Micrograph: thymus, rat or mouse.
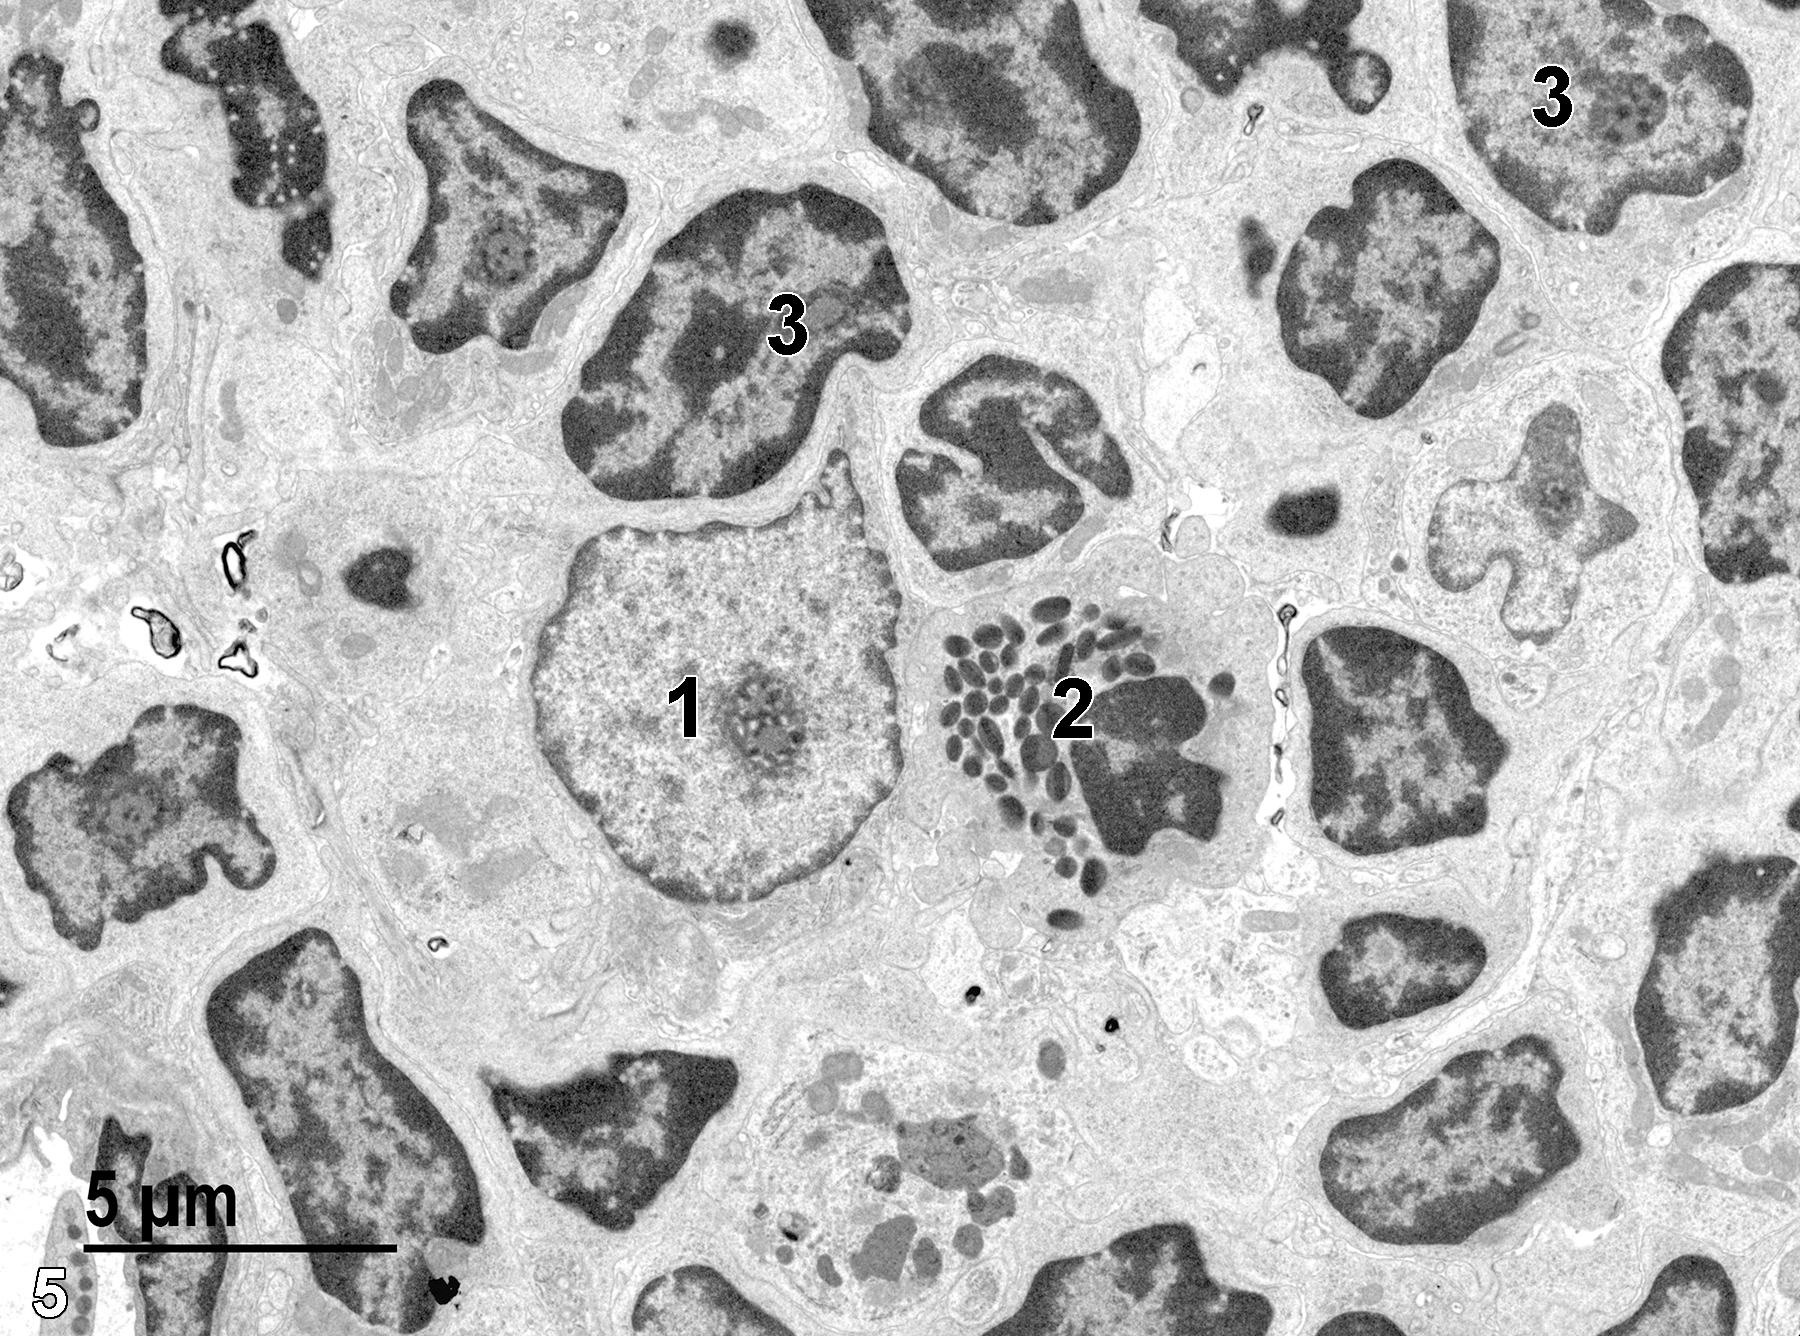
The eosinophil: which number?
2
